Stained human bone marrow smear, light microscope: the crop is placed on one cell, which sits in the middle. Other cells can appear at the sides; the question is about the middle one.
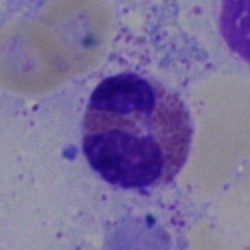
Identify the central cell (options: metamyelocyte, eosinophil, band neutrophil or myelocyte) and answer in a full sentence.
The cell found in the middle of this crop is an eosinophil.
